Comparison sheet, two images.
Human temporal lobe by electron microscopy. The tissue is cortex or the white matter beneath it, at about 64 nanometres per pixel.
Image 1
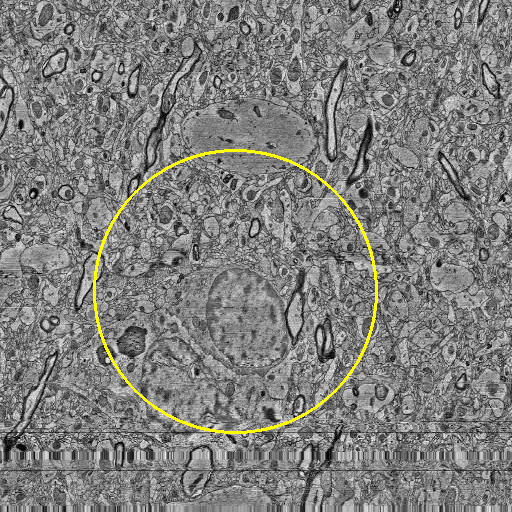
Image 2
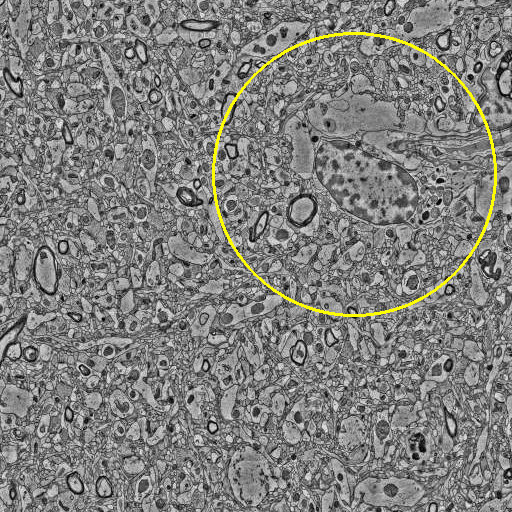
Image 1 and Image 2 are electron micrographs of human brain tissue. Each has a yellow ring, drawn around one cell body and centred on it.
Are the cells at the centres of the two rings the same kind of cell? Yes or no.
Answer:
no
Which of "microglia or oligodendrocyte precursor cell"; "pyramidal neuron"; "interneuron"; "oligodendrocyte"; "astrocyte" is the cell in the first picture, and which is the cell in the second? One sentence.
The two differ: the first cell is an oligodendrocyte and the second is a microglial cell or oligodendrocyte precursor cell.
